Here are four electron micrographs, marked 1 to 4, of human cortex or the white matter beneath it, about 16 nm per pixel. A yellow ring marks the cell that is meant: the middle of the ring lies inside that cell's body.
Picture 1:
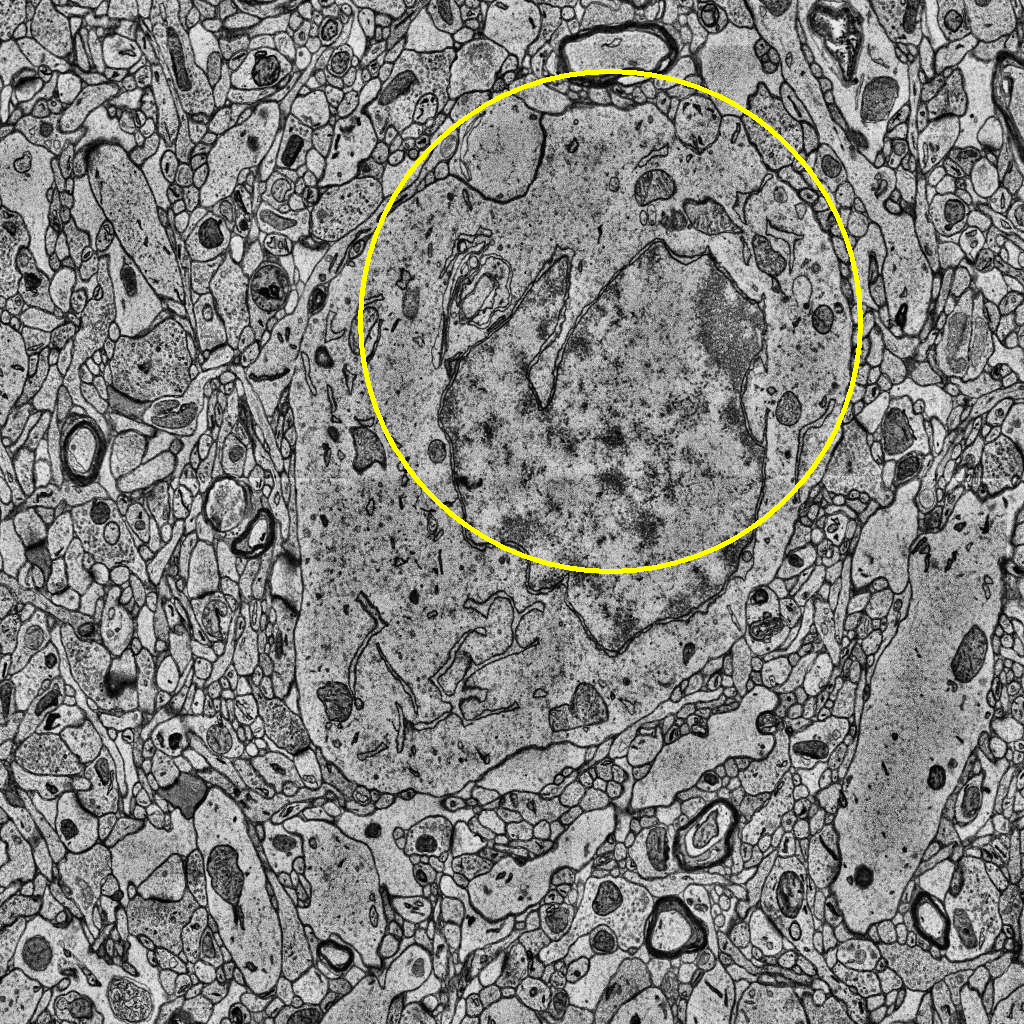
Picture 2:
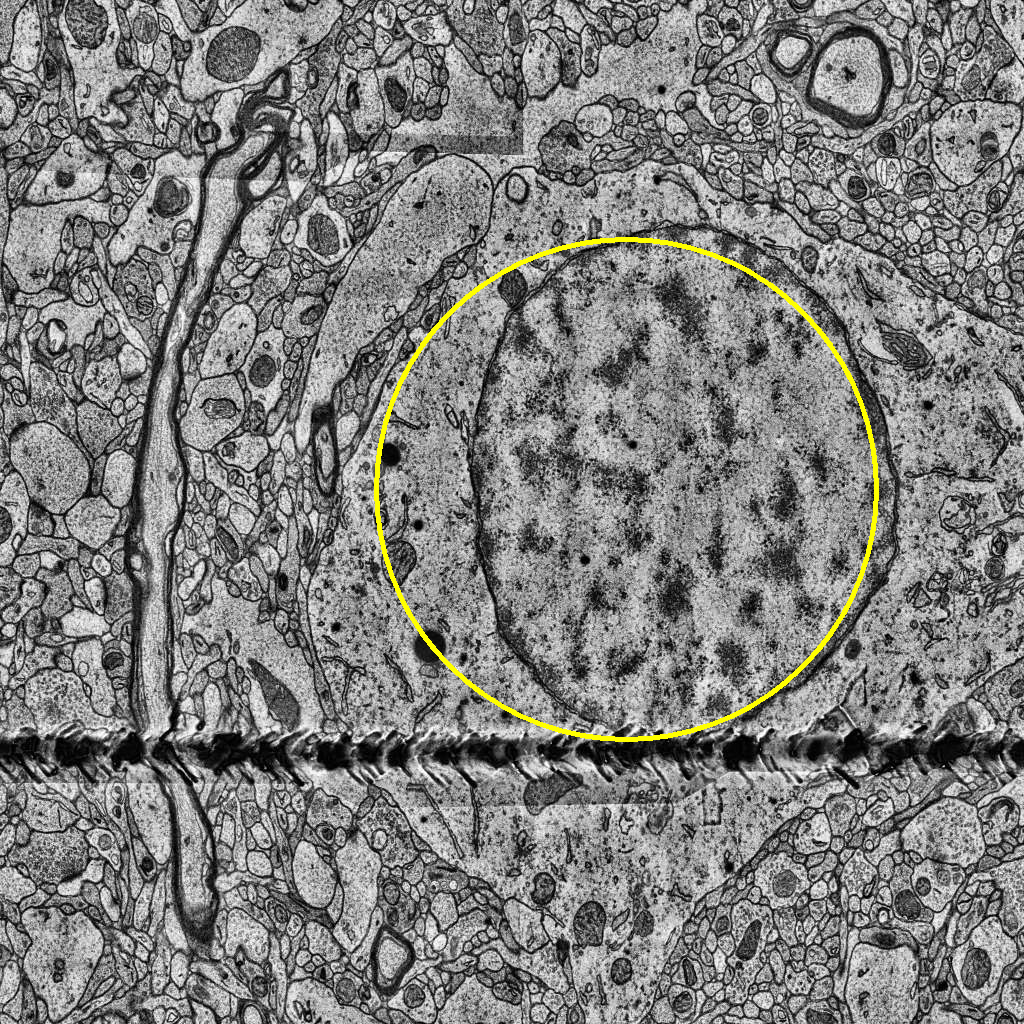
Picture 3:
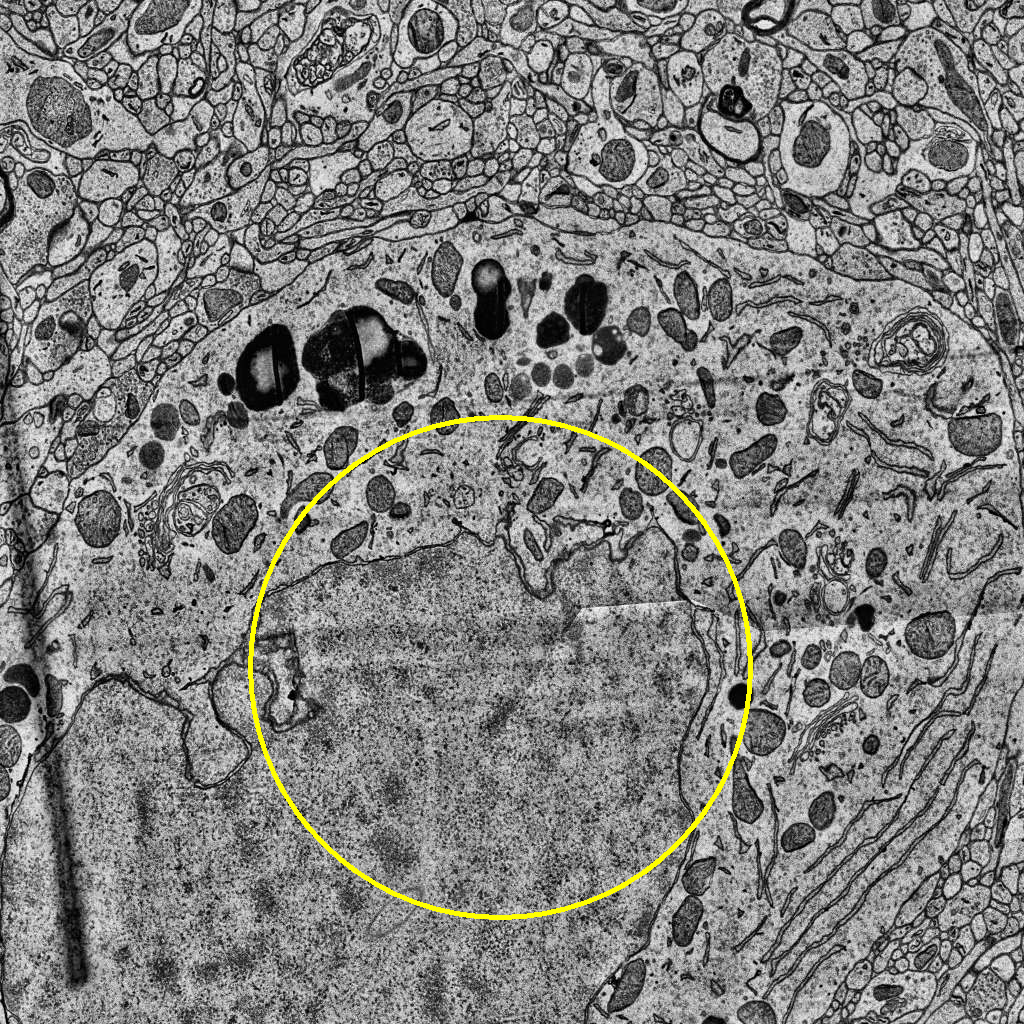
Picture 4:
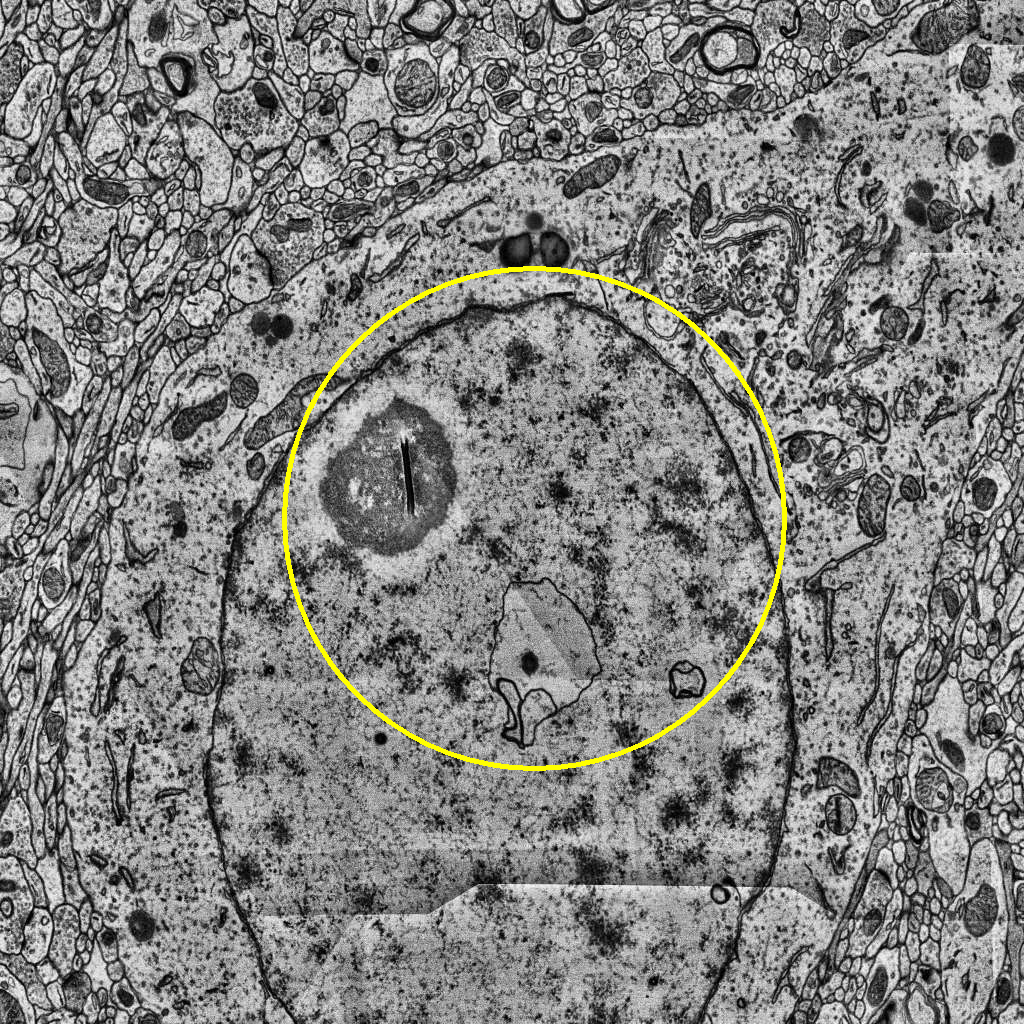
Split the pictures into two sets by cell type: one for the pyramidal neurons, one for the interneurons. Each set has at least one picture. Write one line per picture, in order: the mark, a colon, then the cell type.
1: interneuron
2: pyramidal neuron
3: interneuron
4: pyramidal neuron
